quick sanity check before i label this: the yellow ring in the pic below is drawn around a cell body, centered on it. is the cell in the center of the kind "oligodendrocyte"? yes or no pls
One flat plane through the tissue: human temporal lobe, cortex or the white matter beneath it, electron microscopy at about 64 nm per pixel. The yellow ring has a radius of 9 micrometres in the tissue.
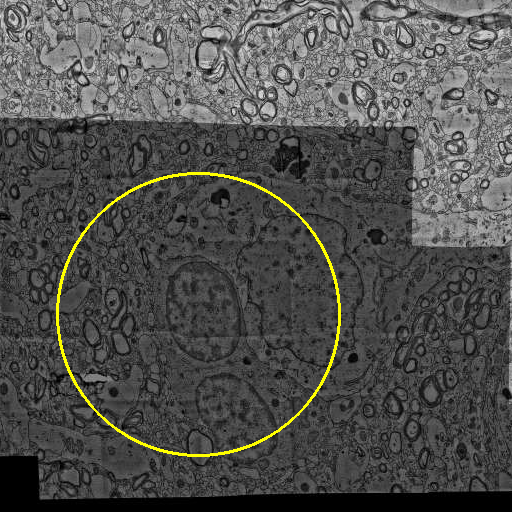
yes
